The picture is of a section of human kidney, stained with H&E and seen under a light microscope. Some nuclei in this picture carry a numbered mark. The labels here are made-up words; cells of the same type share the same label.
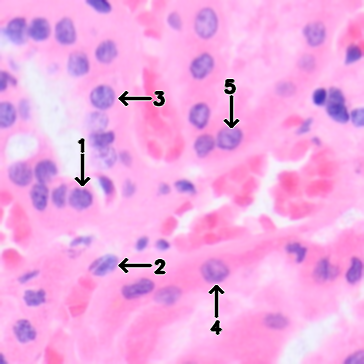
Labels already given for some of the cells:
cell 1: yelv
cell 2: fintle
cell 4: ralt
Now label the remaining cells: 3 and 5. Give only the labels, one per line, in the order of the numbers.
yelv
ralt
